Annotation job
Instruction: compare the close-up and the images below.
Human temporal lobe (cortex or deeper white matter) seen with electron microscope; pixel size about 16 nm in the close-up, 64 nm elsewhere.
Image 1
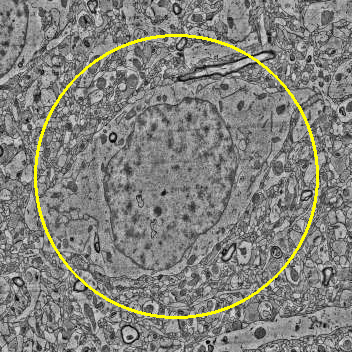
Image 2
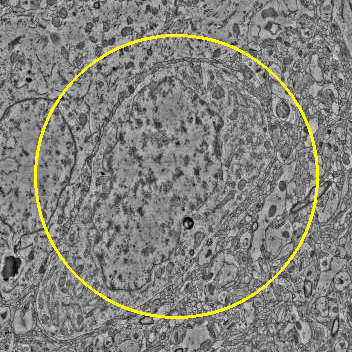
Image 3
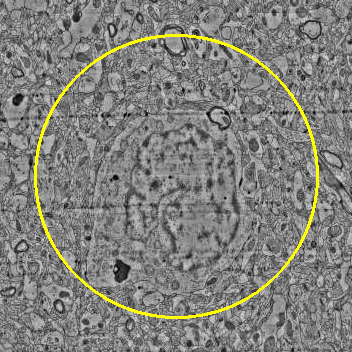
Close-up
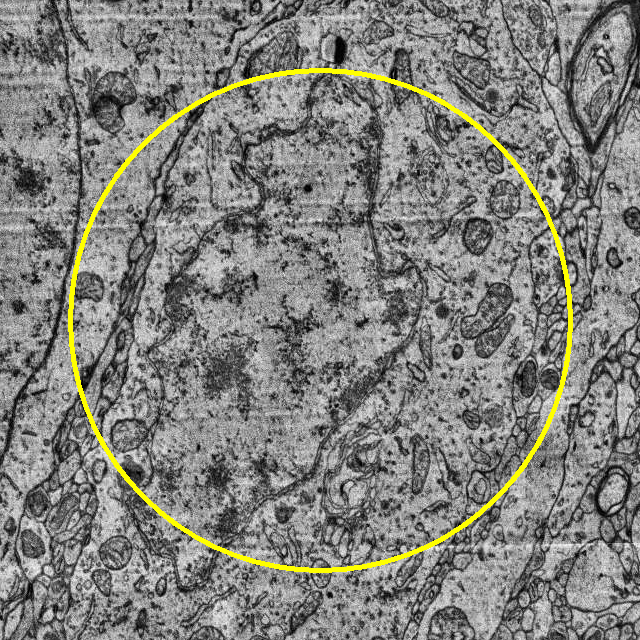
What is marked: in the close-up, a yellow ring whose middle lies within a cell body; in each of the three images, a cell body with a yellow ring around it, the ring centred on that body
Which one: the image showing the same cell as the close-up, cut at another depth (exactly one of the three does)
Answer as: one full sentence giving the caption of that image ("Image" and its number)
The cell marked in Image 2 is the one enlarged in the close-up.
